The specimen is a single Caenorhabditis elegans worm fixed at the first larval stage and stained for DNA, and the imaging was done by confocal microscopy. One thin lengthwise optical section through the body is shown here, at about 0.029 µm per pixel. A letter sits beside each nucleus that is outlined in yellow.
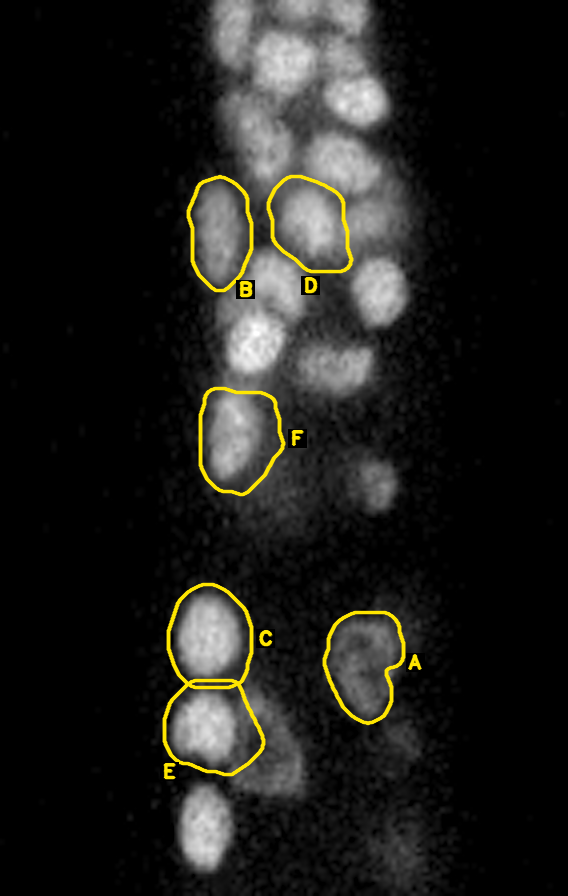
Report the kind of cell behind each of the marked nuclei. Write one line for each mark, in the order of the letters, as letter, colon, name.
A: intestinal cell
B: rectal epithelial cell
C: neuron
D: rectal epithelial cell
E: neuron
F: neuron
